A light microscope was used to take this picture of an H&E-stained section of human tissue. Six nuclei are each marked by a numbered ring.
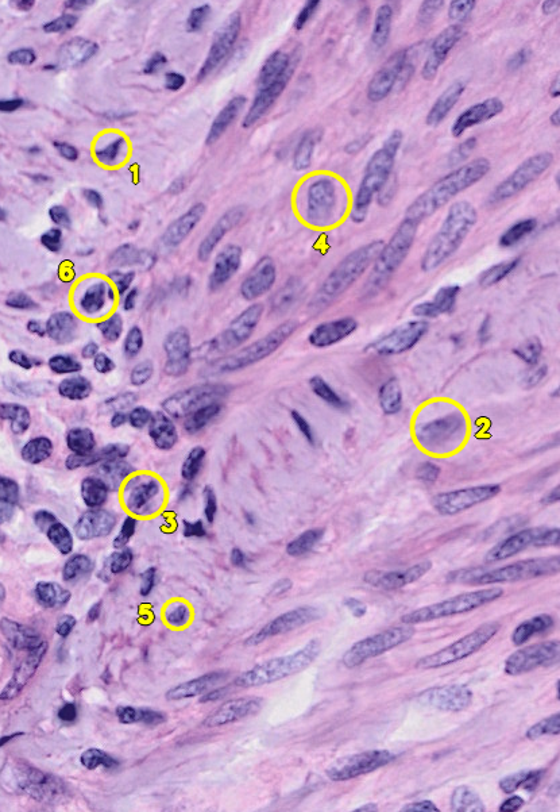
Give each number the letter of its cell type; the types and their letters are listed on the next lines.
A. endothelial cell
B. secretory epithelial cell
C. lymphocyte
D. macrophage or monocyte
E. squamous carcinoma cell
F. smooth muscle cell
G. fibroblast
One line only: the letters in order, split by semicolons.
F; F; C; F; F; C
